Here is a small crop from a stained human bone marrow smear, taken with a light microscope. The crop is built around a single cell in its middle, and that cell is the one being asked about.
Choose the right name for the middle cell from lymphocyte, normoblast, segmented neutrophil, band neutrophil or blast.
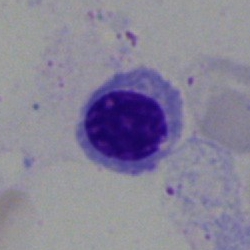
normoblast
